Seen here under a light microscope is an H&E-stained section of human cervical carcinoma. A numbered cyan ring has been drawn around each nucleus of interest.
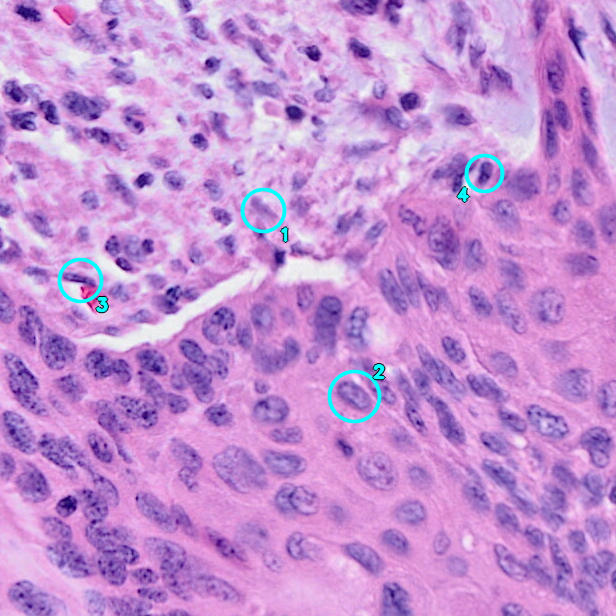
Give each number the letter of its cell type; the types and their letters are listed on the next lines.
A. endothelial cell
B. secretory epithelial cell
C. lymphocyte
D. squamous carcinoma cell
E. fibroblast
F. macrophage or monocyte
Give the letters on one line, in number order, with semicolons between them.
E; D; A; C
